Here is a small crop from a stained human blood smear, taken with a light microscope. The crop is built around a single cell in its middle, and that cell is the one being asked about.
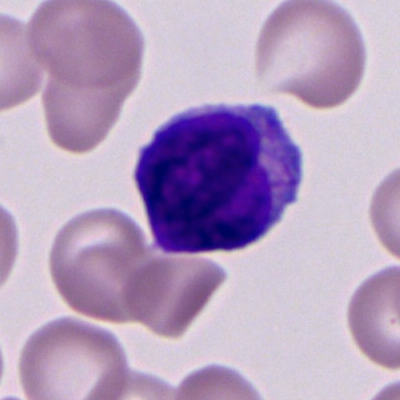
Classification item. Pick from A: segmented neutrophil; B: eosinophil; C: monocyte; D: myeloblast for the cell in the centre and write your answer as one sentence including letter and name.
Identification: the cell in the middle is a myeloblast, matching option D.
